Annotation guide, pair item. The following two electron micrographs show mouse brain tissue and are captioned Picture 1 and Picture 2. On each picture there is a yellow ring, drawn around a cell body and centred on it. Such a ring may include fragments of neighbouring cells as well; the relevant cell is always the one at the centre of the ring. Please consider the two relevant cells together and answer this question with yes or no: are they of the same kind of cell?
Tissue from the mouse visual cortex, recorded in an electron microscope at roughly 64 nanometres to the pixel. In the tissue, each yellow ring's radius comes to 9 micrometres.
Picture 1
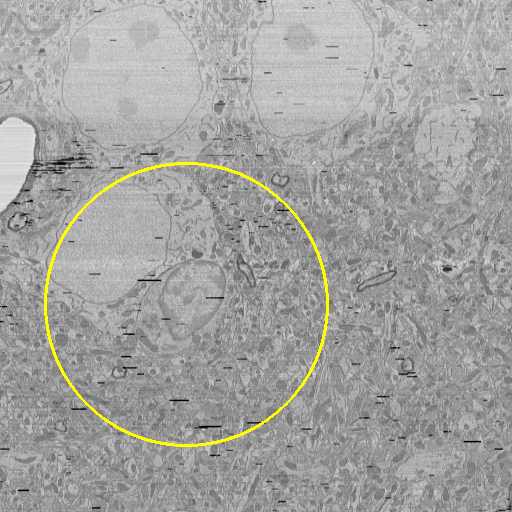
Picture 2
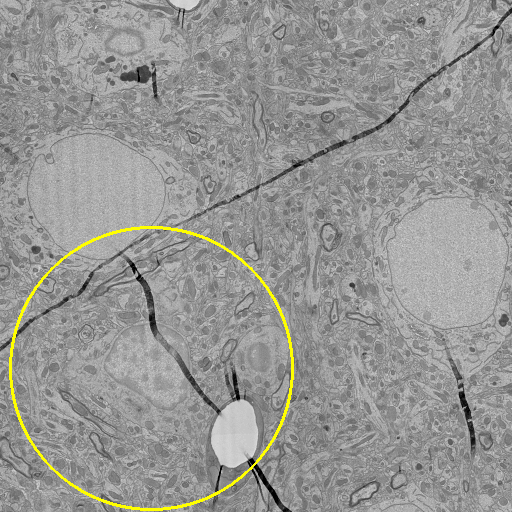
yes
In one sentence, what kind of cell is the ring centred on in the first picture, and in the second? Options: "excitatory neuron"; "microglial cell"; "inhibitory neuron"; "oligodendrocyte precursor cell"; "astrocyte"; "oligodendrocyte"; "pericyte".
The first and the second cell are each an oligodendrocyte.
